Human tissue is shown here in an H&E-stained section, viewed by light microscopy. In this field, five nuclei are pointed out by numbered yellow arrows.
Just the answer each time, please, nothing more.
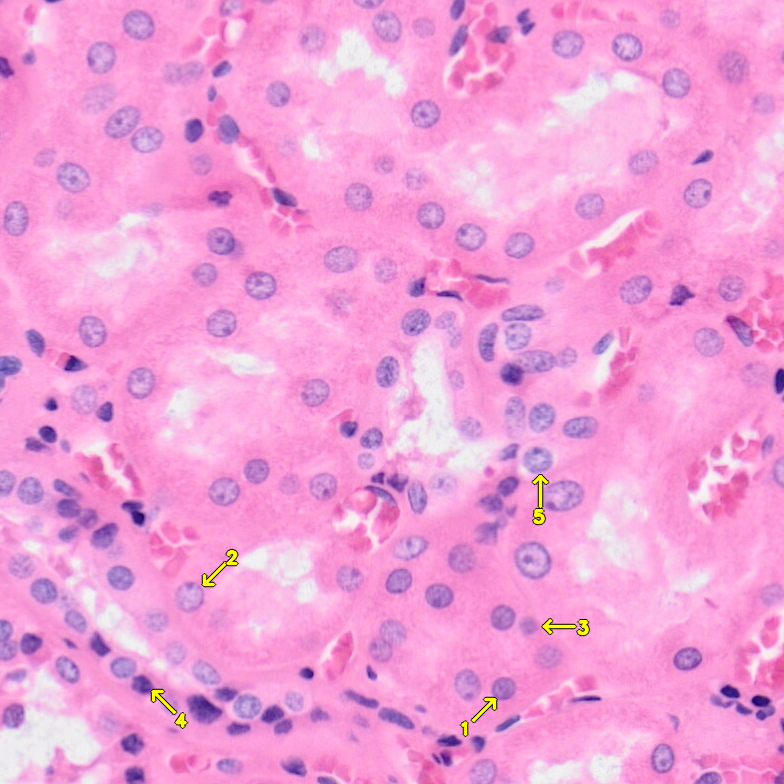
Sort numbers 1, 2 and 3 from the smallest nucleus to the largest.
3, 1, 2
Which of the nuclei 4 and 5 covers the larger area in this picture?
5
